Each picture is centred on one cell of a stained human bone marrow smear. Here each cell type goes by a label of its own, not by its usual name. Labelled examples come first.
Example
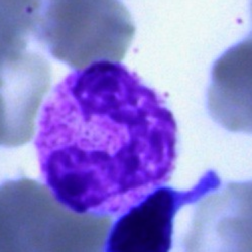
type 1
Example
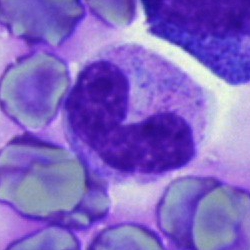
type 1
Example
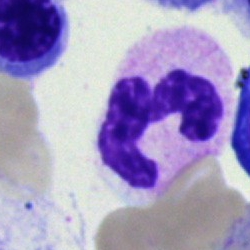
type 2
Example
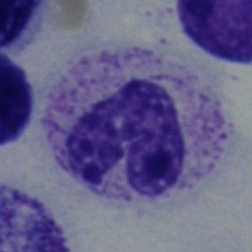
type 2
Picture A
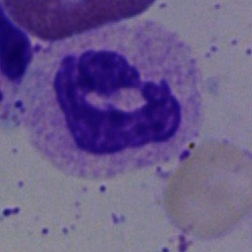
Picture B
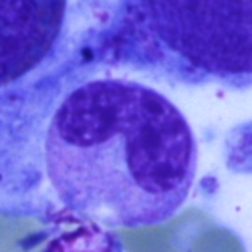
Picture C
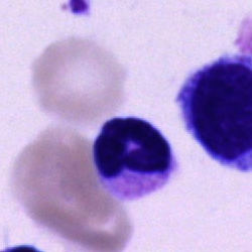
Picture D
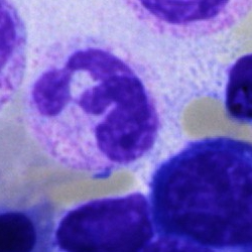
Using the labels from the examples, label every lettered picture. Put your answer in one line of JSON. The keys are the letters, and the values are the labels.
{"A": "type 2", "B": "type 1", "C": "type 2", "D": "type 2"}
